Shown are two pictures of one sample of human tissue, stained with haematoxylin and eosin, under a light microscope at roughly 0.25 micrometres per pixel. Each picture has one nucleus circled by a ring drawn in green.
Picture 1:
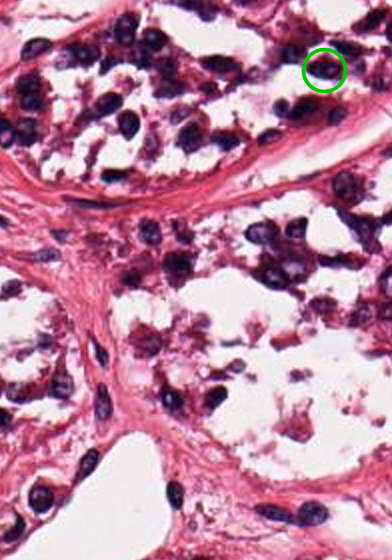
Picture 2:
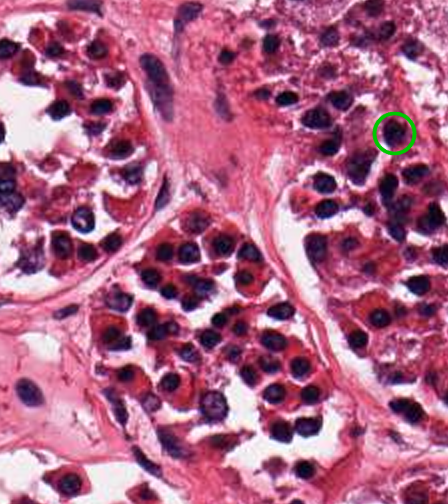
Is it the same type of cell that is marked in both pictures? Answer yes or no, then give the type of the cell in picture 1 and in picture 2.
Yes, both are anterior pituitary cells.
